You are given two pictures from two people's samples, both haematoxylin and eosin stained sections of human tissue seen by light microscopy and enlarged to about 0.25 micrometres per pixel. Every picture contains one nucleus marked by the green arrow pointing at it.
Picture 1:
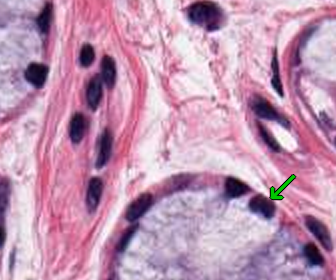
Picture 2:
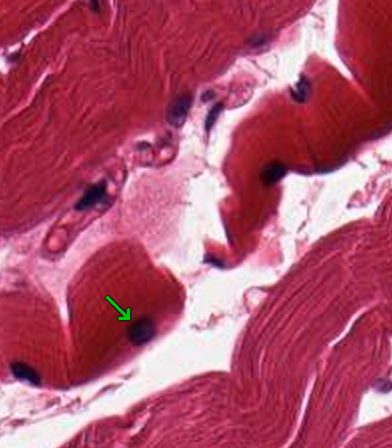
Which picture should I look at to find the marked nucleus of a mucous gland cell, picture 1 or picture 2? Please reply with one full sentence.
The nucleus bearing the mark in picture 1 belongs to a mucous gland cell.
